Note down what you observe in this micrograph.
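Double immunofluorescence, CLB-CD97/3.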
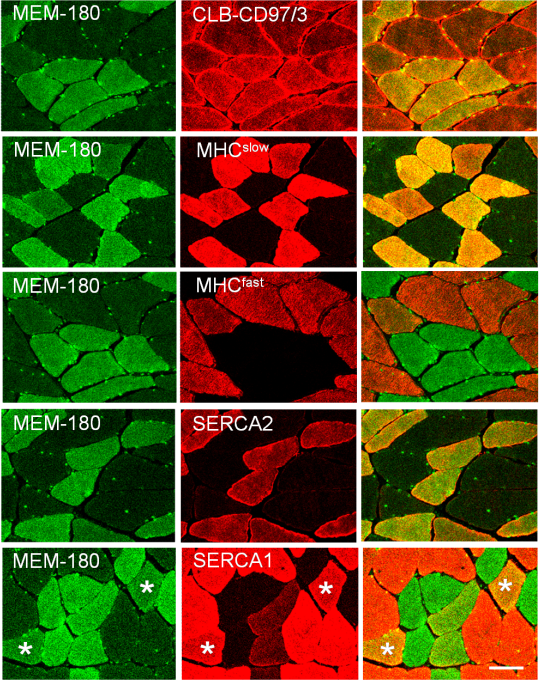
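These are cross-sections of skeletal muscle in which closely packed muscle fibers appear as polygonal profiles of similar size. In the green channel a subset of fibers is stained more brightly throughout the cytoplasm, while the others are dim, giving a mosaic pattern. In the red channel of each row, some fibers are likewise stained strongly and others weakly or not at all, and one row also shows bright red rims along the borders of all fibers. In the merged images fibers bright in both channels appear yellow to orange, while fibers bright in only one channel stay green or red. Asterisks in the bottom row mark fibers that are bright in both channels.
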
